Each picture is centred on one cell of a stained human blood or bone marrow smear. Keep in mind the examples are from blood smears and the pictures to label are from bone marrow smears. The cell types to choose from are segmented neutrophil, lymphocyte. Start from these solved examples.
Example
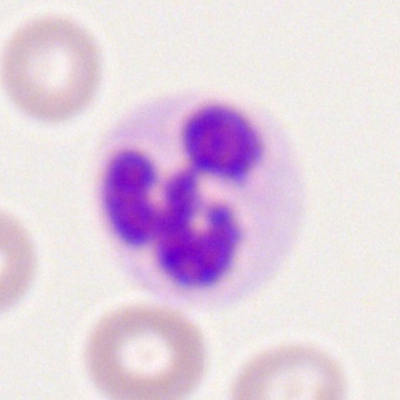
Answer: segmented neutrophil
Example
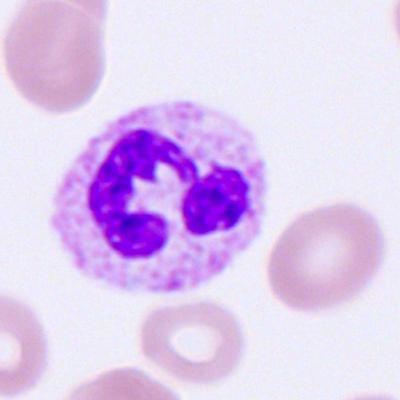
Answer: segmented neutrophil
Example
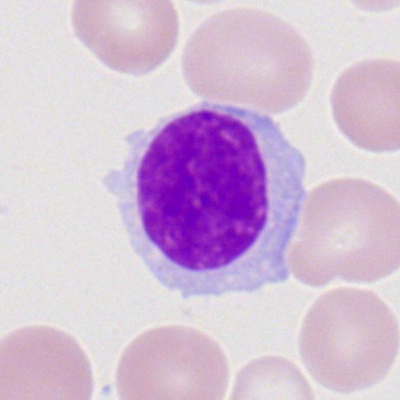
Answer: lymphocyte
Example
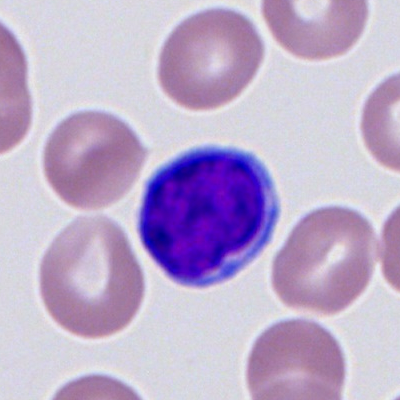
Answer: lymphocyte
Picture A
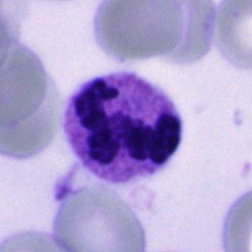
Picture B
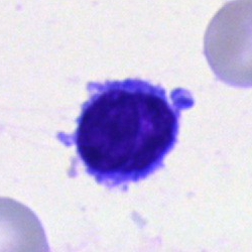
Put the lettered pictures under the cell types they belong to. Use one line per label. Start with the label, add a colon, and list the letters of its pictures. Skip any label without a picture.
segmented neutrophil: A
lymphocyte: B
